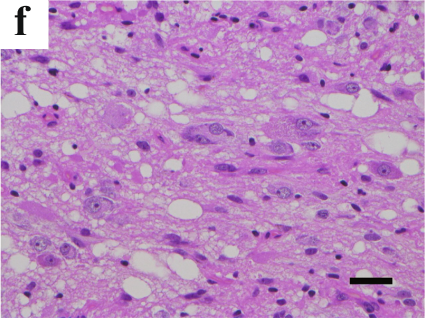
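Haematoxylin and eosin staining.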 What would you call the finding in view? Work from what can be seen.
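A large cell with pink cytoplasm holds two round nuclei side by side. The nuclei of the large cells have prominent nucleoli.
Answer: double nuclei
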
